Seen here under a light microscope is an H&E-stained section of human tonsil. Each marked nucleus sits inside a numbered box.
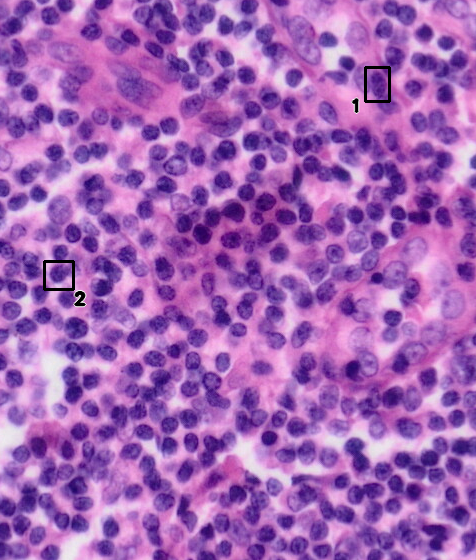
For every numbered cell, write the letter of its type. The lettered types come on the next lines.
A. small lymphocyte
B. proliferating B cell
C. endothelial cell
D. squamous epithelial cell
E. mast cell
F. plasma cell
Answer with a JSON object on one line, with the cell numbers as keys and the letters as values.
{"1": "C", "2": "A"}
